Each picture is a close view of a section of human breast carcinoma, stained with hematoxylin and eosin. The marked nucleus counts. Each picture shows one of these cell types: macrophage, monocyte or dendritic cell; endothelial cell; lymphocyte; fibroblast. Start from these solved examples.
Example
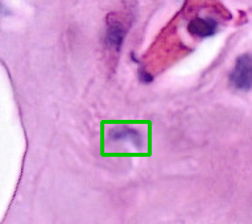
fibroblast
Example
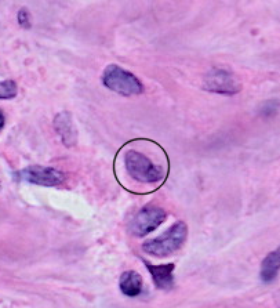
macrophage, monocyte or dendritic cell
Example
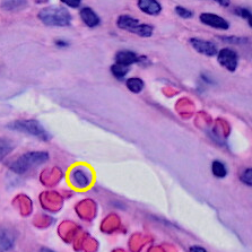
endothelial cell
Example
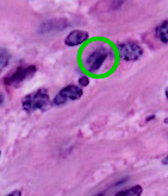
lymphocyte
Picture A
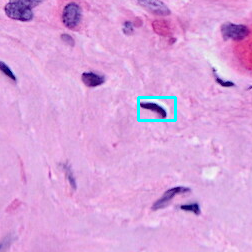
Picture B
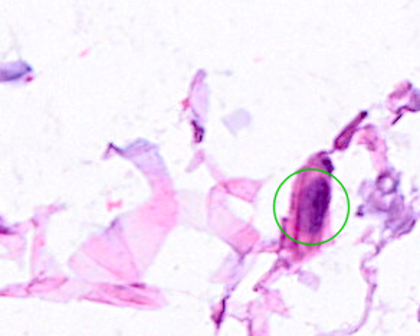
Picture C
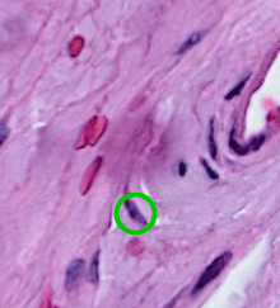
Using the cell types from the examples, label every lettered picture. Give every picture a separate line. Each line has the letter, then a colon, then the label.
A: fibroblast
B: endothelial cell
C: fibroblast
